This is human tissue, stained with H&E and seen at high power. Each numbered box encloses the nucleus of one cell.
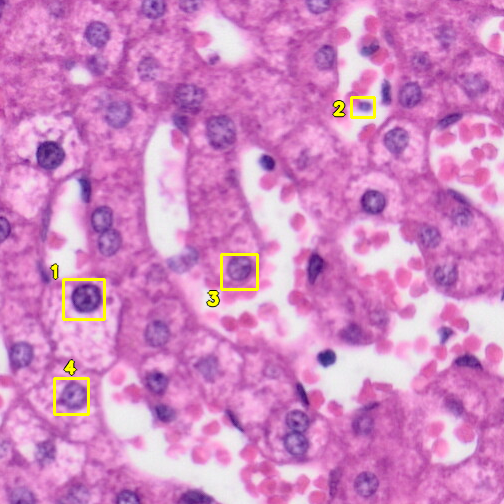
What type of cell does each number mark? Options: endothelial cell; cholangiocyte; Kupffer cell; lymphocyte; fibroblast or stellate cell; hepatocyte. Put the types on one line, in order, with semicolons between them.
hepatocyte; lymphocyte; hepatocyte; hepatocyte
